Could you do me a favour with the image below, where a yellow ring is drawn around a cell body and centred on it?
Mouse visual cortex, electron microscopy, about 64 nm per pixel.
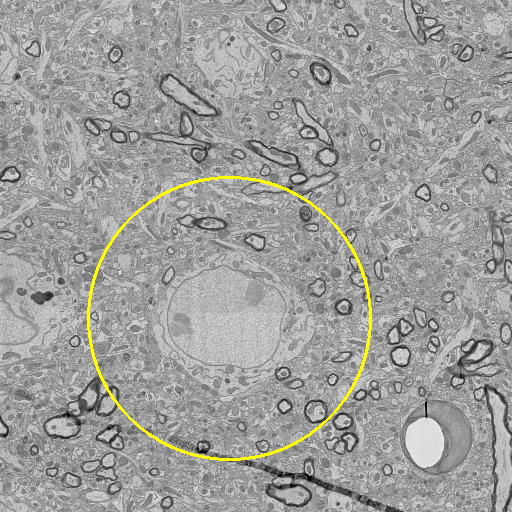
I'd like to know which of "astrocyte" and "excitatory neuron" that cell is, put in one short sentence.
The cell at the ring's centre is an excitatory neuron.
